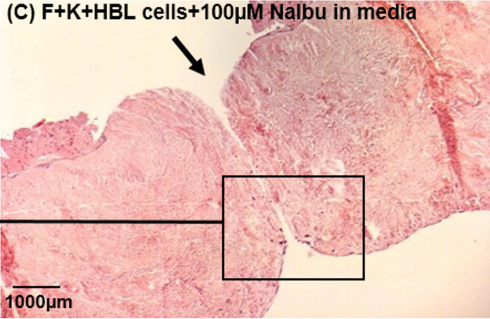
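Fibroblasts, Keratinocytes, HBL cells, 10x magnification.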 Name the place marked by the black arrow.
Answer: Wound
